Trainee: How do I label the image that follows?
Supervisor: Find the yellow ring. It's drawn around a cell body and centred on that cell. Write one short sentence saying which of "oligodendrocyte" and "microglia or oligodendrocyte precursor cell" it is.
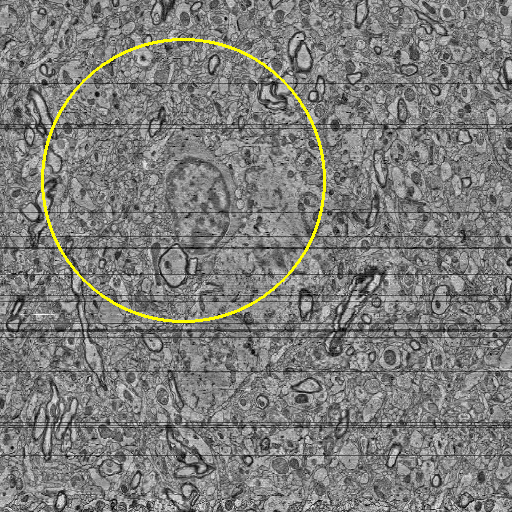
This is the cell body of an oligodendrocyte.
